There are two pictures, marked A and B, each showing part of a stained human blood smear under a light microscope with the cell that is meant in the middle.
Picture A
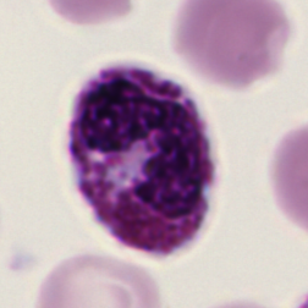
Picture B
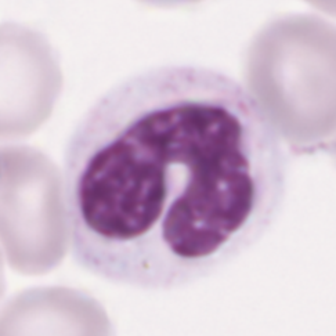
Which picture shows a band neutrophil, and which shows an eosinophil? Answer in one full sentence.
Picture B shows a band neutrophil, while picture A shows an eosinophil.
